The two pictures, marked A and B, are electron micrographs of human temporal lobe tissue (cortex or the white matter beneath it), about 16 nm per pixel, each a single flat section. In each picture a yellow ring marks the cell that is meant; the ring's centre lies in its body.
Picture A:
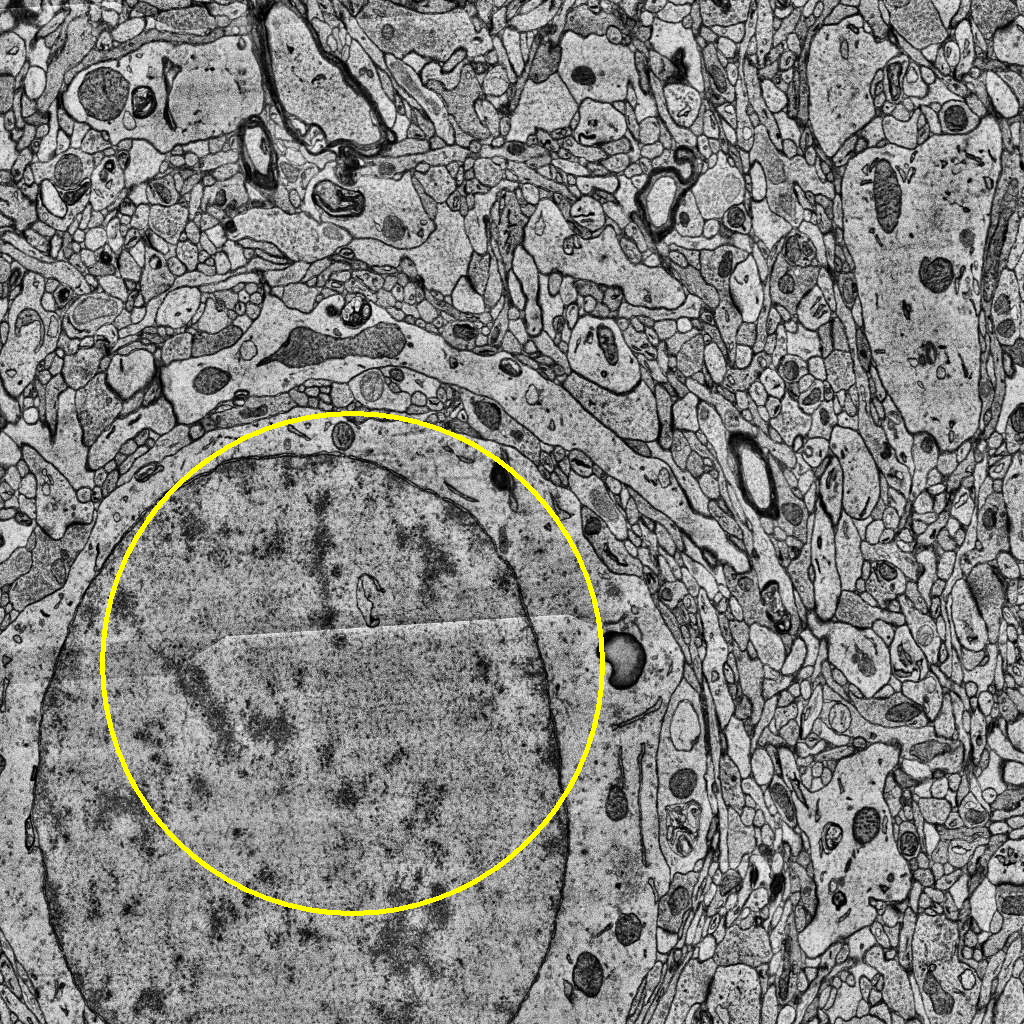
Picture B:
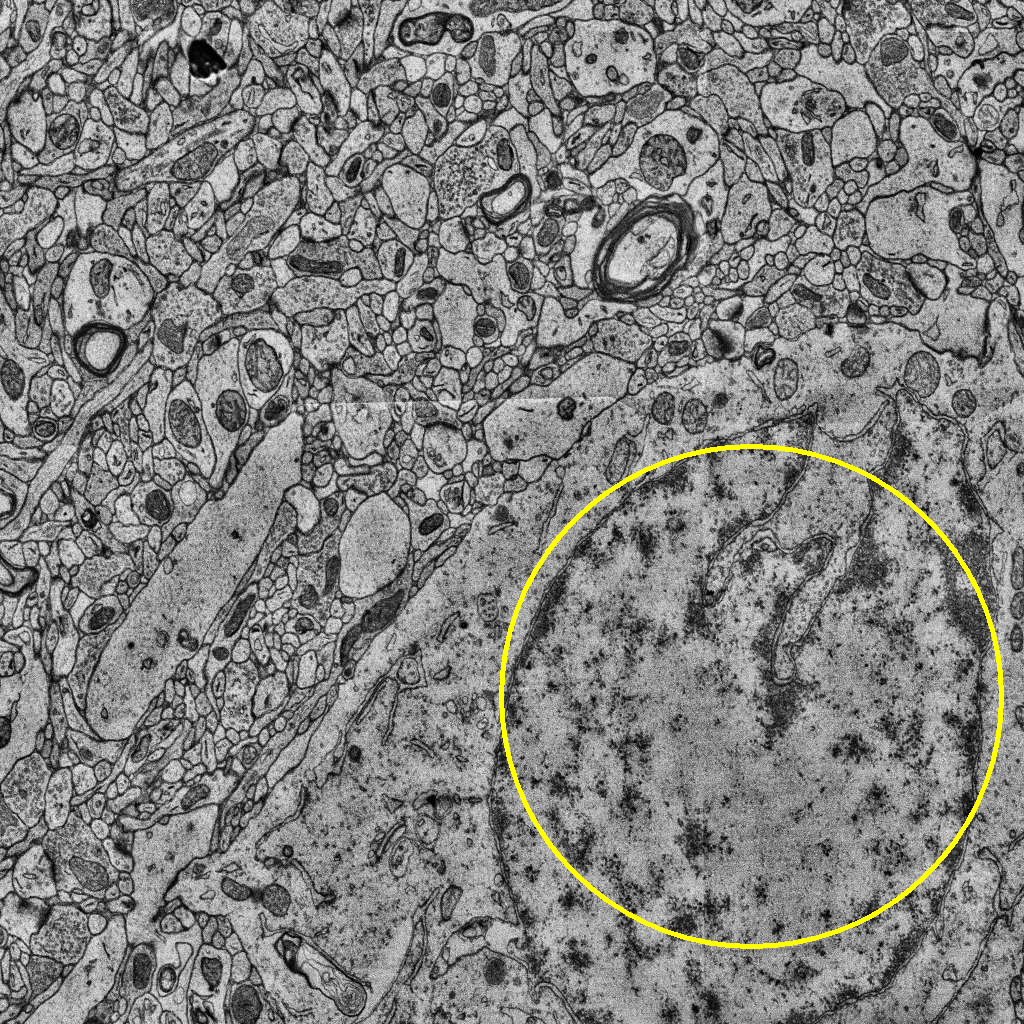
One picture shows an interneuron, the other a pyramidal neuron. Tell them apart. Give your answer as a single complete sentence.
It is picture A that shows a pyramidal neuron, and picture B that shows an interneuron.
